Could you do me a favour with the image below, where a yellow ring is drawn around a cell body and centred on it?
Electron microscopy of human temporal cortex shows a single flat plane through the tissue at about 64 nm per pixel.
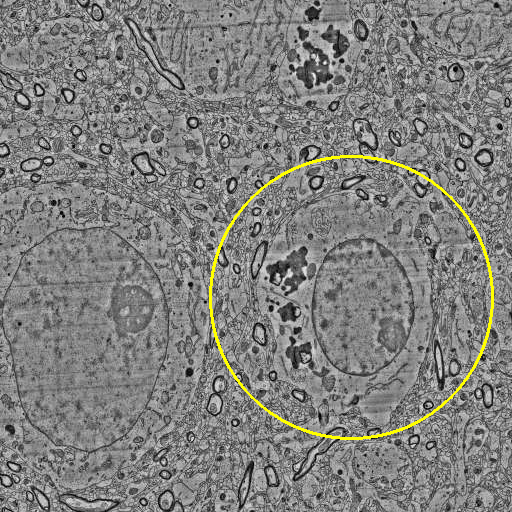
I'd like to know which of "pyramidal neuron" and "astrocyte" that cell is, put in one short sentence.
The cell at the ring's centre is an astrocyte.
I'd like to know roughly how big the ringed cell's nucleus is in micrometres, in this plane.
The nucleus is approximately 9 micrometers long by 7 micrometers wide in this plane.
